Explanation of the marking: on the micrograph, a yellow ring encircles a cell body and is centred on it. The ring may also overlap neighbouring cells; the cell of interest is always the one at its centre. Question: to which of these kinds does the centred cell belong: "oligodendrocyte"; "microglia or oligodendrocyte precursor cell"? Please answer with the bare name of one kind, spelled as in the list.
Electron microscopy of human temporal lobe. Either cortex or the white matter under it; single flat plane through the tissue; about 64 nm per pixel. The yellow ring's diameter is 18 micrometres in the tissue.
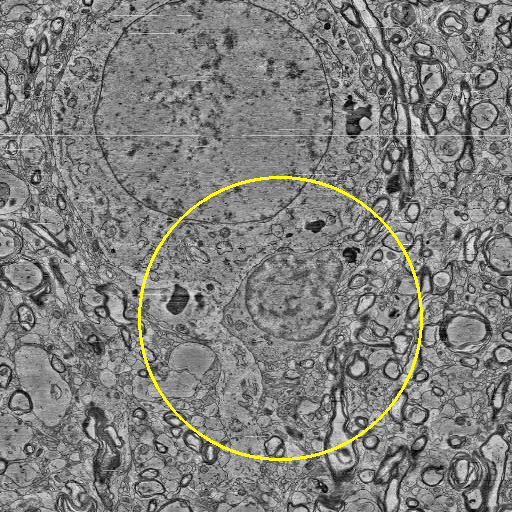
oligodendrocyte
